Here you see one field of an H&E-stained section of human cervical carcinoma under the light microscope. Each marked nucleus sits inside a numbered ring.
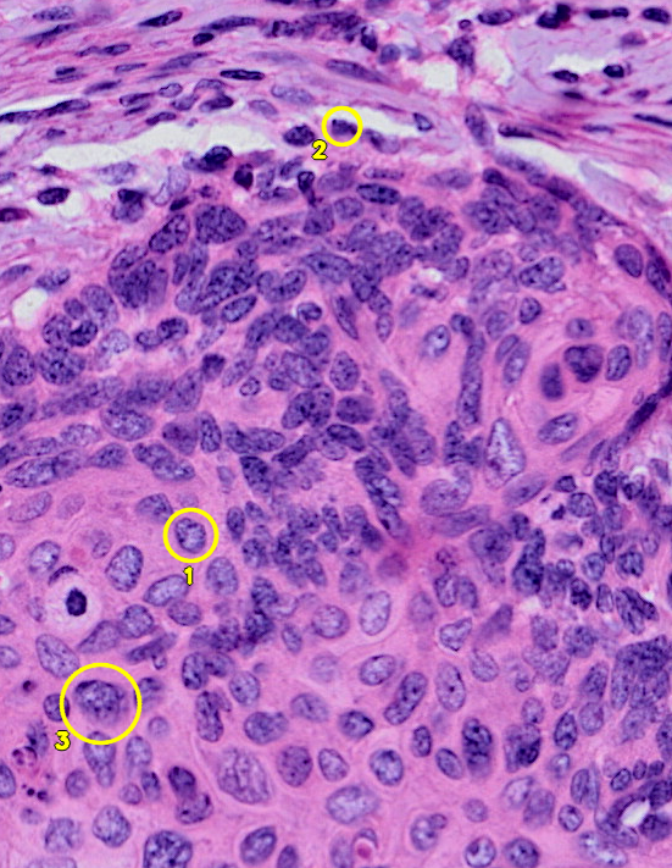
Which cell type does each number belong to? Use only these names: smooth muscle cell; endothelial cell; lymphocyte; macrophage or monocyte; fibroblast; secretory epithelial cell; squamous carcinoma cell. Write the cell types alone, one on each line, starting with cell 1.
squamous carcinoma cell
lymphocyte
squamous carcinoma cell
